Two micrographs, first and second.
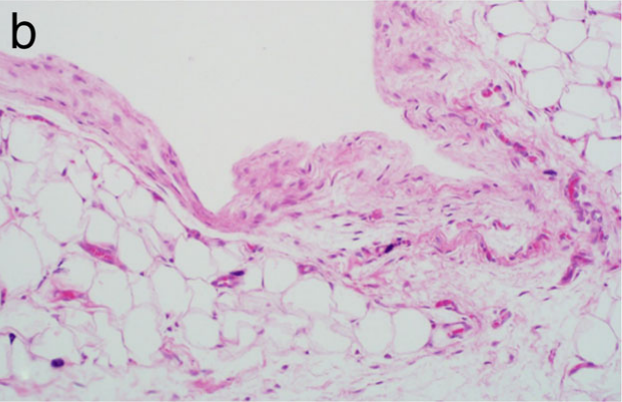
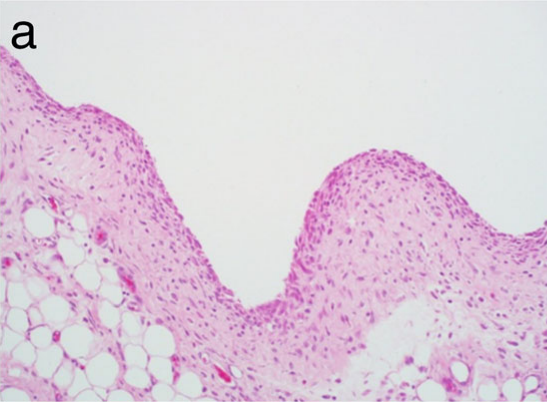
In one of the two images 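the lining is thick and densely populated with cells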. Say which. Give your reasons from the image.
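First image: the surface layer is thin, with few scattered nuclei lying in wavy pink fibres. Second image: the surface layer is broad and crowded with many small dark nuclei. The answer: the second image.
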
